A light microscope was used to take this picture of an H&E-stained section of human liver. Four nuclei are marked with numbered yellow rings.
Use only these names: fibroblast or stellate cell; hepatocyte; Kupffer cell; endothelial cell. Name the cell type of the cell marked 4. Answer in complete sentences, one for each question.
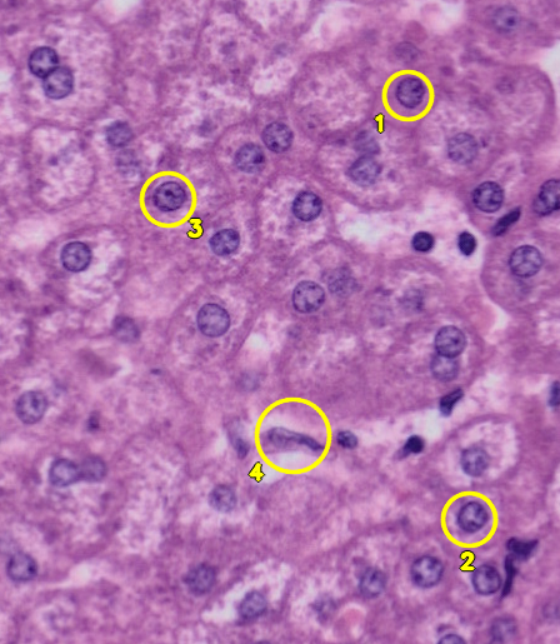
The numeral 4 marks a Kupffer cell in this section.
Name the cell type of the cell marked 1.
The cell identified by number 1 is a hepatocyte.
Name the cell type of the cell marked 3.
Regarding cell 3, this one is a hepatocyte.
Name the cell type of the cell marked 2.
The correct label for cell 2 is a hepatocyte.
